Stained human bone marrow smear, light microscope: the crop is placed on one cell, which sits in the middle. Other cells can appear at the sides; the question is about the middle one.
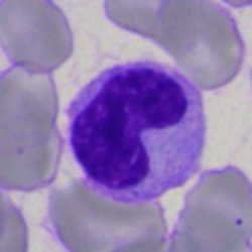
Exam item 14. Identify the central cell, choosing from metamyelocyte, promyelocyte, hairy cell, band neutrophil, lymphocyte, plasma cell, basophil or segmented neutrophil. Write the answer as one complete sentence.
Standing at the centre of this crop is a metamyelocyte.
